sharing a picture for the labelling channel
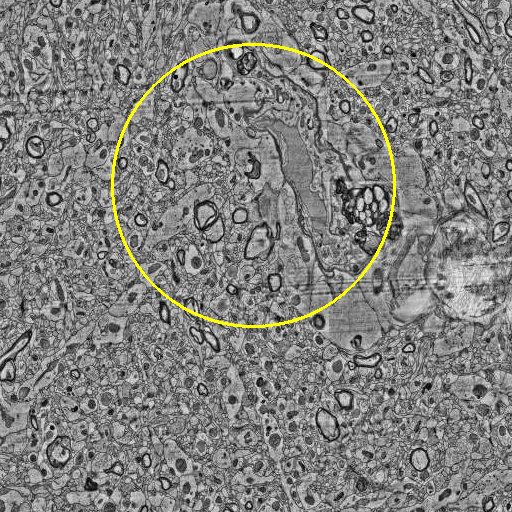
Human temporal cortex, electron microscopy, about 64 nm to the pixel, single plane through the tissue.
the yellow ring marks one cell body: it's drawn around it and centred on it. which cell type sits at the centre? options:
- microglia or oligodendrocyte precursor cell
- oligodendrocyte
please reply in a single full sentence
In the picture, the cell at the ring's centre is an oligodendrocyte, going by the list.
